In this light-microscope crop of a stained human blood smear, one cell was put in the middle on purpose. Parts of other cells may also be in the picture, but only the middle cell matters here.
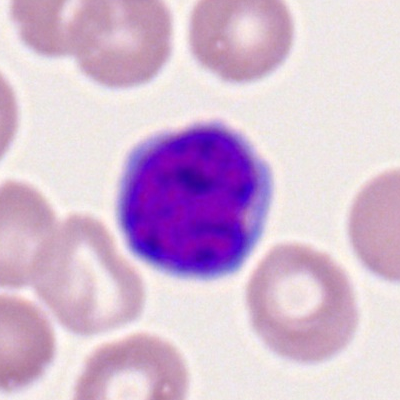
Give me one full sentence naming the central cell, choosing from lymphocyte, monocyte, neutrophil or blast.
The single cell at the center of the crop is a lymphocyte.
